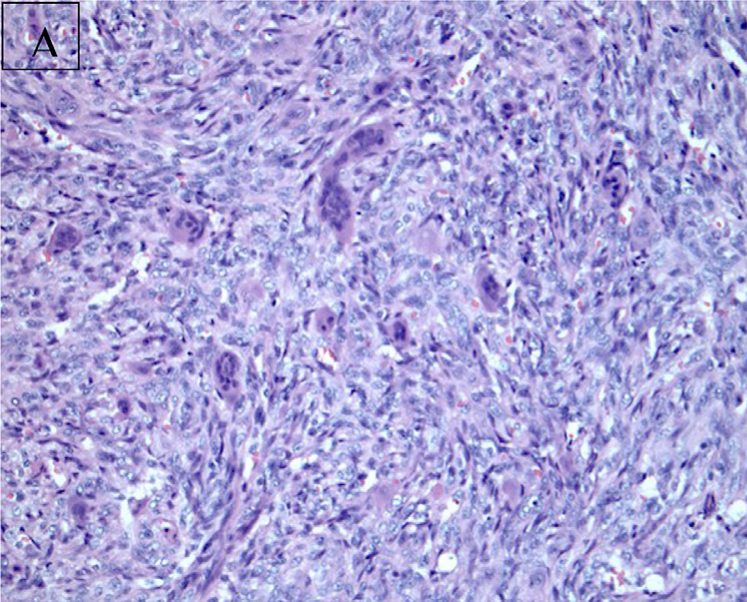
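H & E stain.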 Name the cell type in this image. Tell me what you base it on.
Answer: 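Large cells with many nuclei clustered together are scattered through the field. These large cells have abundant pink cytoplasm. They lie among much smaller spindle-shaped and oval mononuclear cells.
Answer: giant cells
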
